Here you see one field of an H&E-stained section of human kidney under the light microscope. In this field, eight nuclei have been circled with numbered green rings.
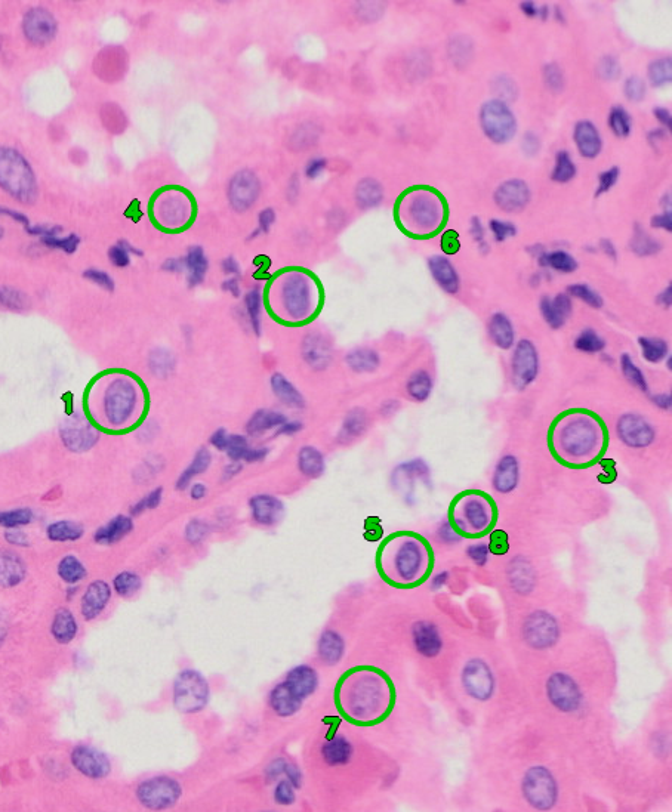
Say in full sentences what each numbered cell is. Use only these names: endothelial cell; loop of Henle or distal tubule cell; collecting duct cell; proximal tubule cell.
Cell 1 is a loop of Henle or distal tubule cell, cell 2 is a loop of Henle or distal tubule cell, cell 3 is a proximal tubule cell, cell 4 is a proximal tubule cell, cell 5 is a loop of Henle or distal tubule cell, cell 6 is a loop of Henle or distal tubule cell, cell 7 is a proximal tubule cell and cell 8 is a loop of Henle or distal tubule cell.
